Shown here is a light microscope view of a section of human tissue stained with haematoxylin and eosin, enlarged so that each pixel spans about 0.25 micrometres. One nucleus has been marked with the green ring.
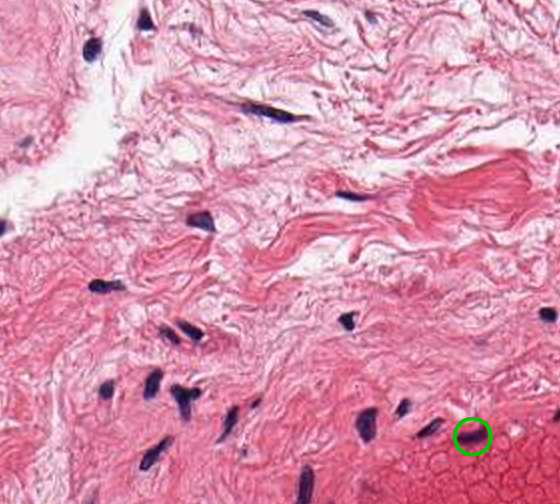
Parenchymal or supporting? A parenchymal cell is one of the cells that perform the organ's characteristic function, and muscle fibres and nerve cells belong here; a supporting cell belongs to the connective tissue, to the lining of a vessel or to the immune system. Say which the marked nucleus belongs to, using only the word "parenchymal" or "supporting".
supporting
